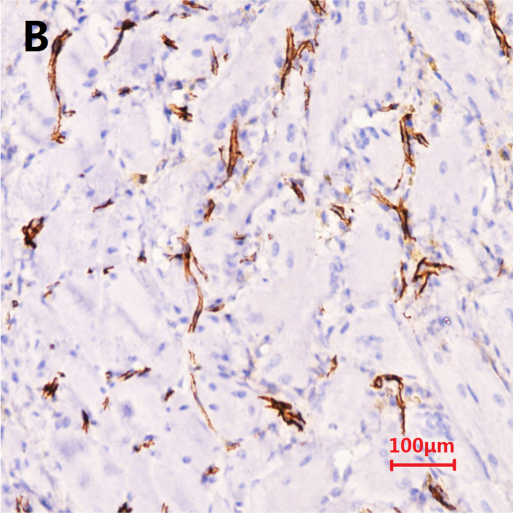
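Many blue nuclei are scattered between the fibres. Numerous brown-stained elongated and branching profiles run through the spaces between fibres, many of them longer and thicker than simple dots.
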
